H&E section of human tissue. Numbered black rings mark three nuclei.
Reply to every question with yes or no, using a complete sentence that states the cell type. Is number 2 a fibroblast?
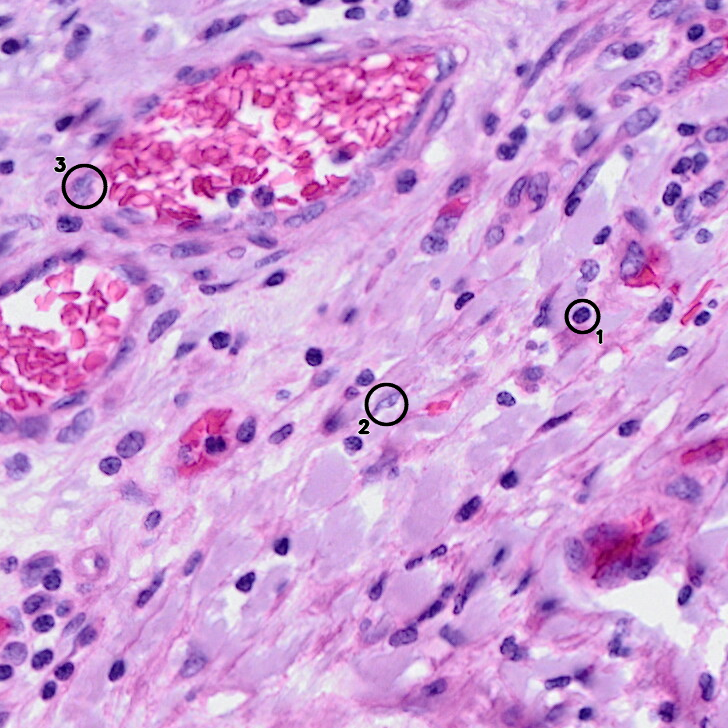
Yes, the cell that number 2 points to is a fibroblast.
